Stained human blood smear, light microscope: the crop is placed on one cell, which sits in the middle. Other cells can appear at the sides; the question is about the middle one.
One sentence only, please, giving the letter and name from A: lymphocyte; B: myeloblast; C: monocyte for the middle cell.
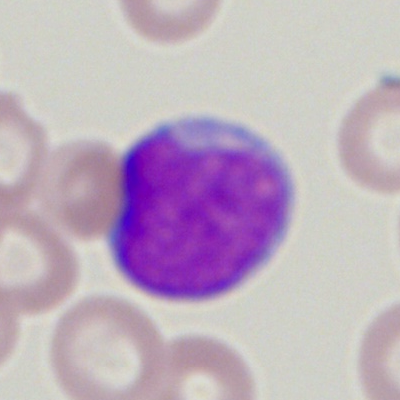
That cell in the center is a myeloblast, hence option B.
